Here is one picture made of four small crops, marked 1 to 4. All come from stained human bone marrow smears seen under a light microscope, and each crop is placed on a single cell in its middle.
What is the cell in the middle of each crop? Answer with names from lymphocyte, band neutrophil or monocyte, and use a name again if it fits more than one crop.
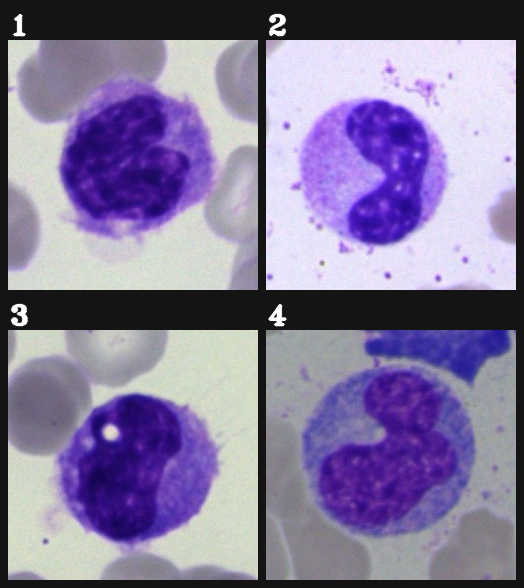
1: monocyte
2: band neutrophil
3: monocyte
4: monocyte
